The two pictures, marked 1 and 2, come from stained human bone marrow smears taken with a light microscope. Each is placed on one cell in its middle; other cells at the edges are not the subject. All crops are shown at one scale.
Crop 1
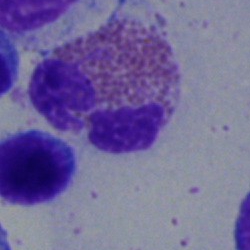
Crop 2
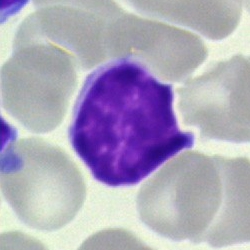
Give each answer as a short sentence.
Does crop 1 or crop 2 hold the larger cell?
The cell in crop 2 is larger, with about 2.5 times the area of the one in crop 1.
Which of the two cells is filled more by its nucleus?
The nucleus fills more of the cell in crop 2 than in crop 1.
